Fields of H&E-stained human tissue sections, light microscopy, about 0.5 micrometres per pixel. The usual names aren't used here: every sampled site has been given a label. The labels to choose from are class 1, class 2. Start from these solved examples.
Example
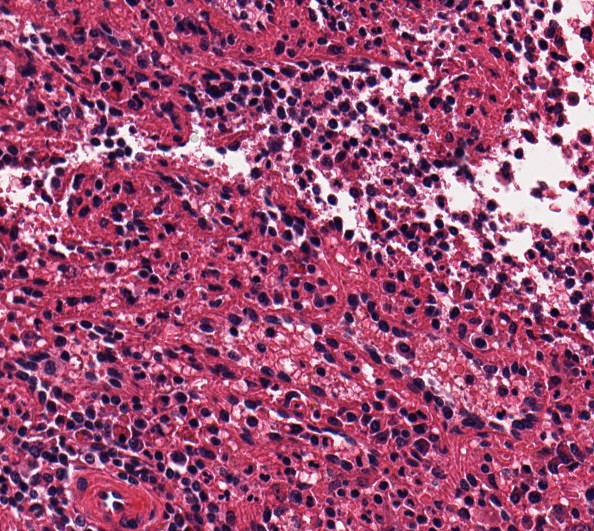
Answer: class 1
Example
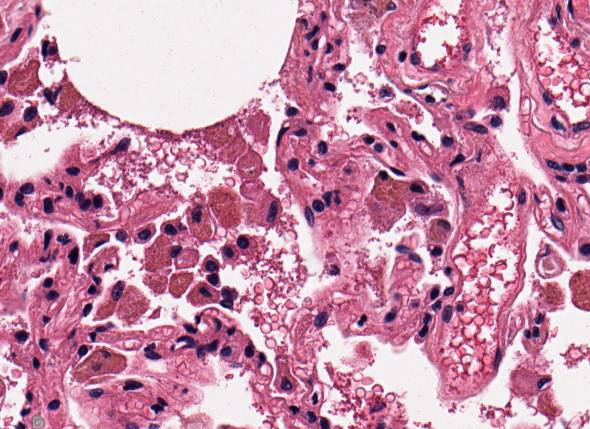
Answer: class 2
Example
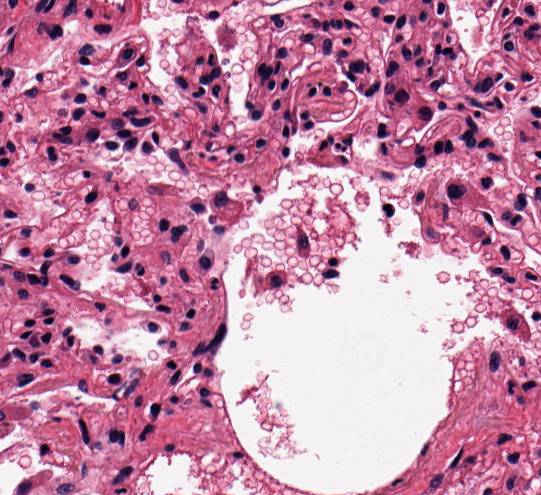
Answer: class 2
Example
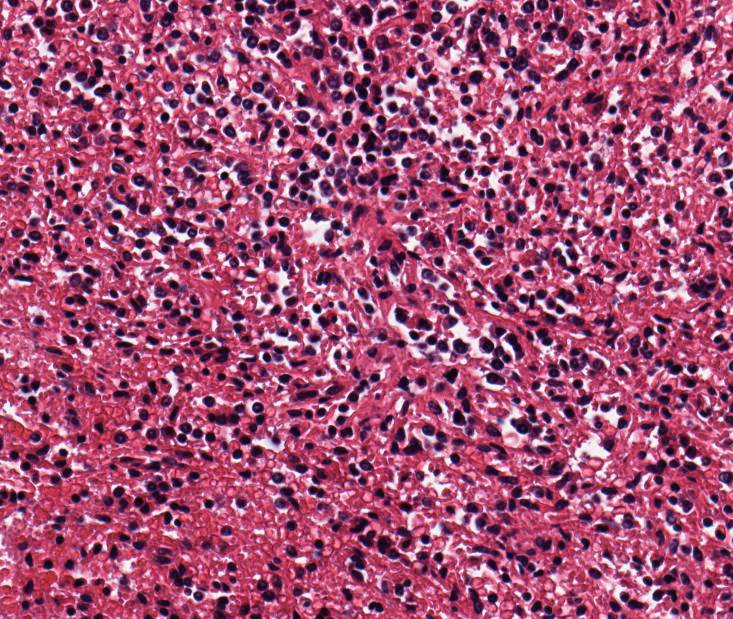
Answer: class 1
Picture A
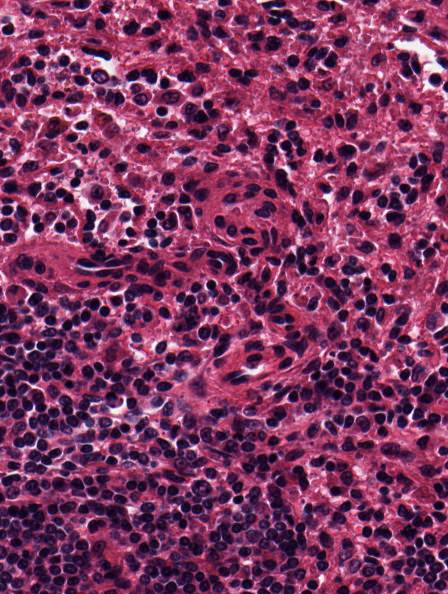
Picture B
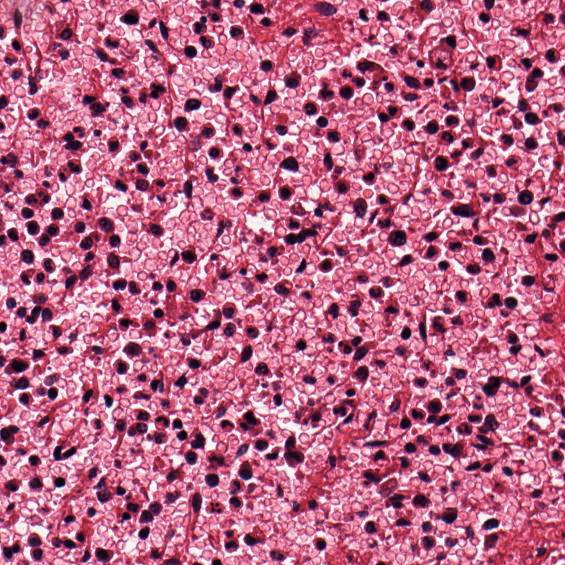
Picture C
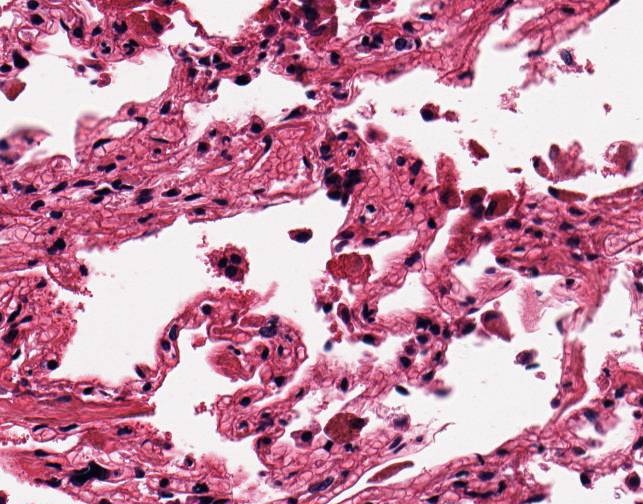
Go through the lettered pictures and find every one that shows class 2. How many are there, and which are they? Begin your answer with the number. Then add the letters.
1, namely C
